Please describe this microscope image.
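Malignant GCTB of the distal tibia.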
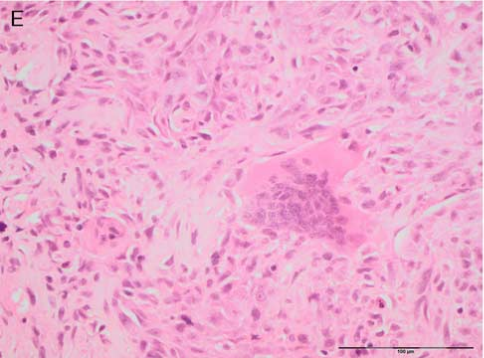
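A tumour of mononuclear spindle to oval cells surrounds a single large multinucleated giant cell in the centre. The mononuclear cells have oval to elongated, somewhat irregular and darkly stained nuclei with pale pink cytoplasm, set in a loose pinkish stroma with indistinct cell borders. The giant cell has abundant pink cytoplasm and a tight cluster of many small nuclei. These are the spindle cells with moderate nuclear atypia of the tumour, with an interspersed osteoclast among them.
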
